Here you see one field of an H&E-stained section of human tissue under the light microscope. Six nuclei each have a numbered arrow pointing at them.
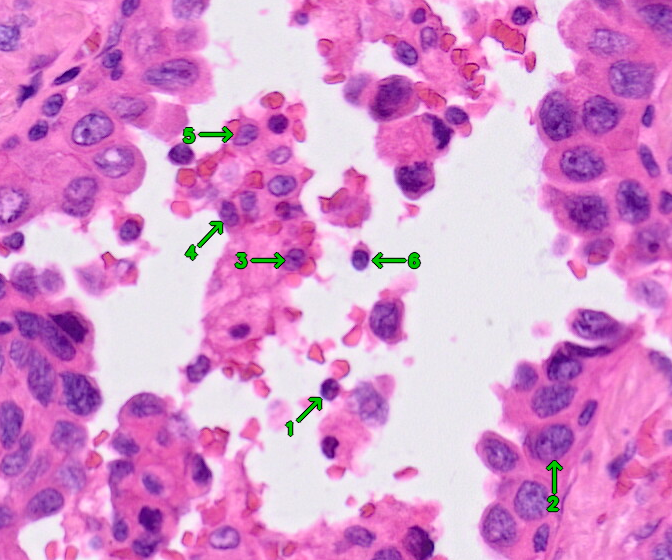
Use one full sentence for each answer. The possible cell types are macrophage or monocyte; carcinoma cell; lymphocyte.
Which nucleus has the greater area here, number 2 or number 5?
It is nucleus 2, which covers about 2 times the area of nucleus 5.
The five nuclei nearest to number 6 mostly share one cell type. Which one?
The majority of the five nuclei closest to number 6 belong to macrophages or monocytes.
